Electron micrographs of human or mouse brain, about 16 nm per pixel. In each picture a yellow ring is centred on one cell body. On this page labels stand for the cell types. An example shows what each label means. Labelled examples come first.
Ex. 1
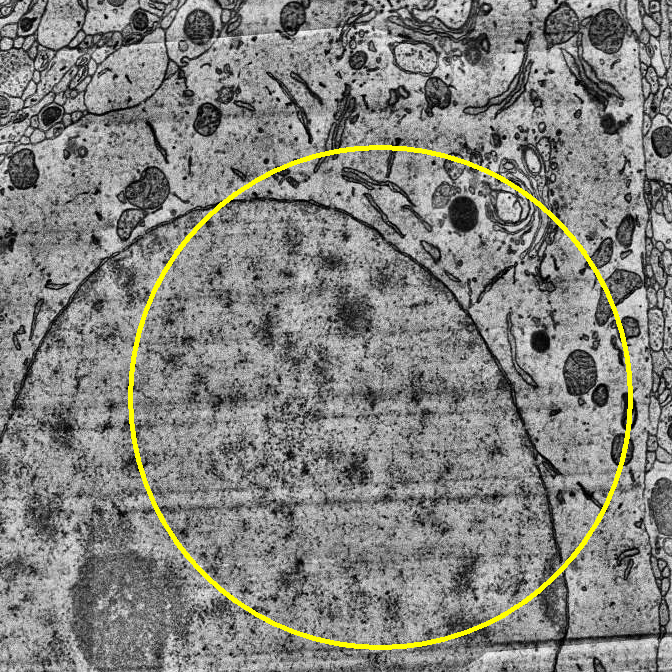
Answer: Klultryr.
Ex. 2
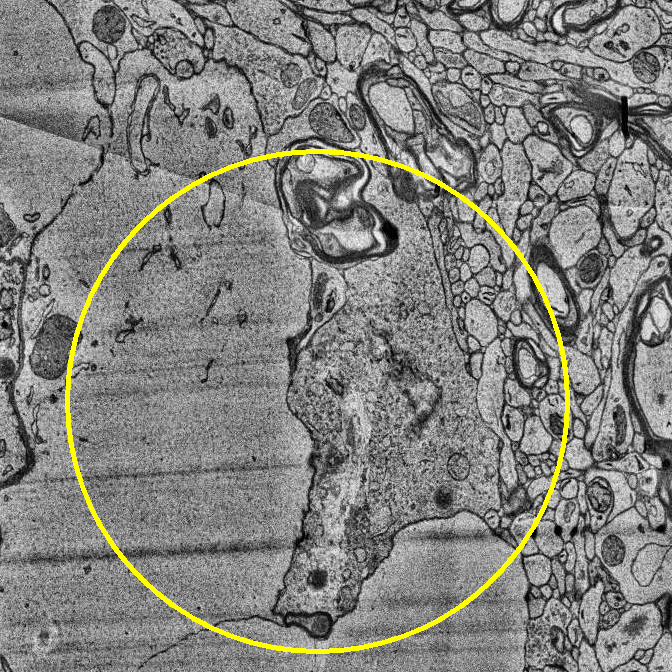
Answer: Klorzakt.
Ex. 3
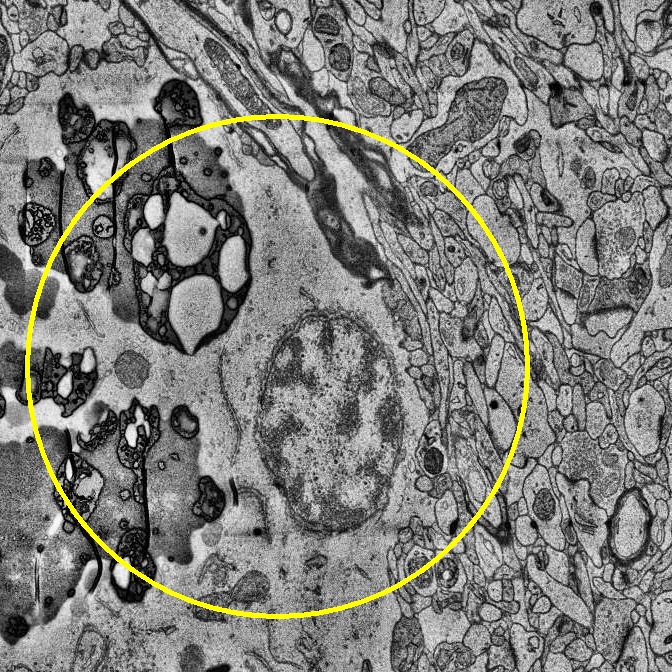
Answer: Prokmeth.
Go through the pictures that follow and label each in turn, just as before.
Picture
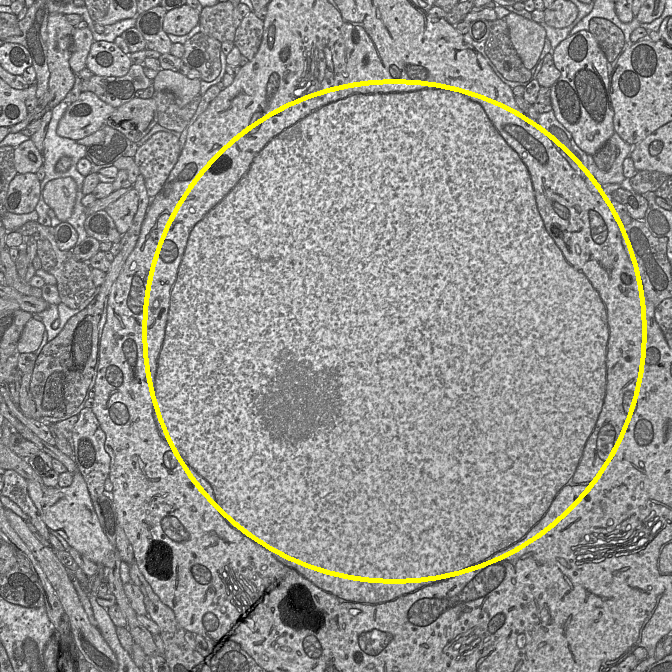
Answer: Klultryr.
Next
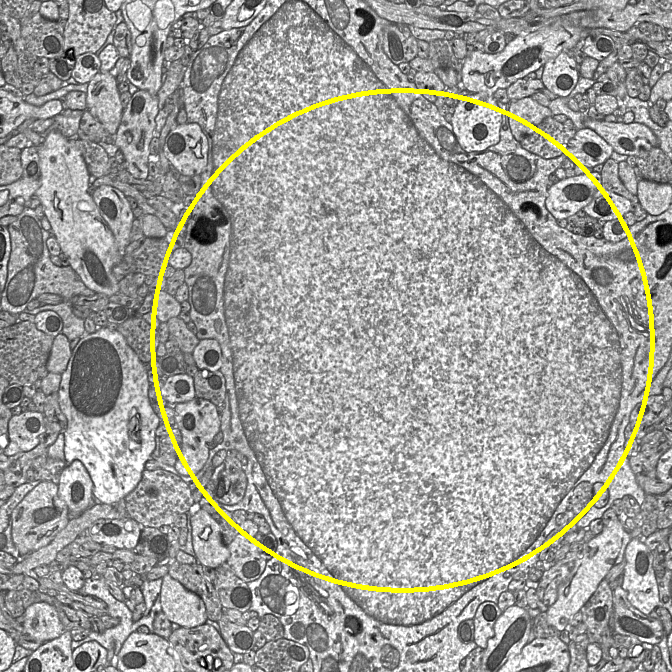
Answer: Prokmeth.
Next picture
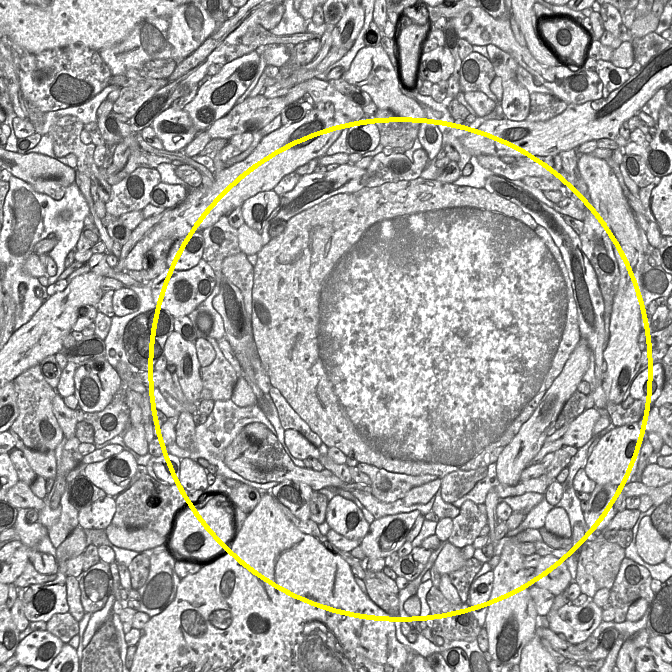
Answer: Klorzakt.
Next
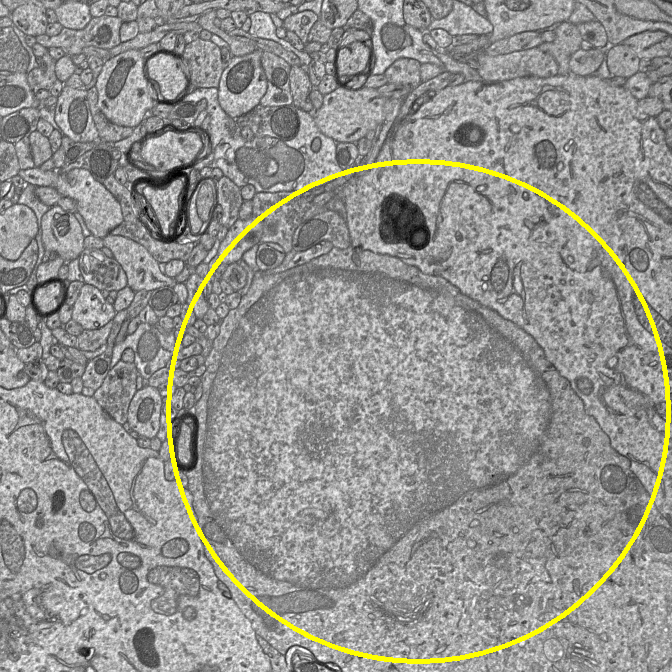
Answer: Klorzakt.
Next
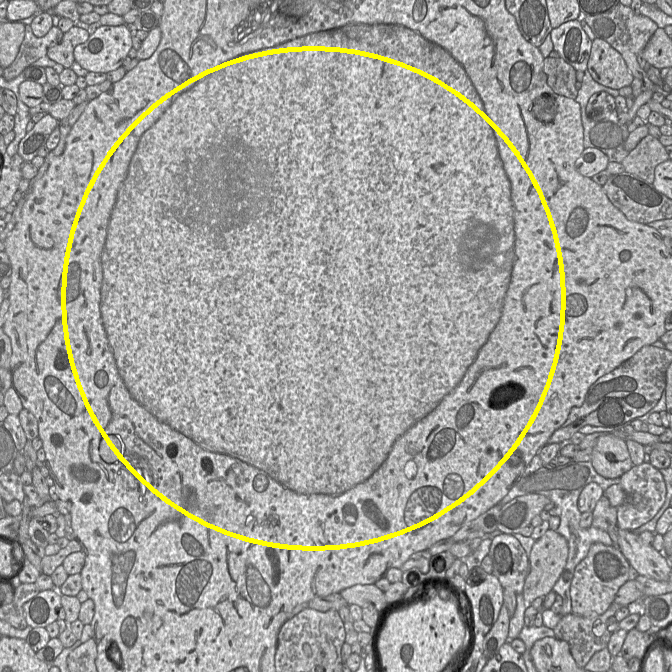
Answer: Klultryr.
